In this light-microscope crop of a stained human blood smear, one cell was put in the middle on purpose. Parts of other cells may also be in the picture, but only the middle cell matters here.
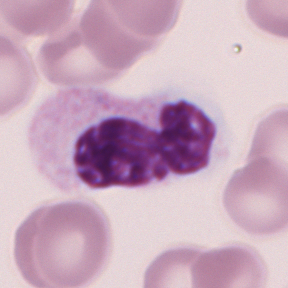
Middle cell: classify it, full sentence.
Among the cells in view, the one in the middle is a segmented neutrophil.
